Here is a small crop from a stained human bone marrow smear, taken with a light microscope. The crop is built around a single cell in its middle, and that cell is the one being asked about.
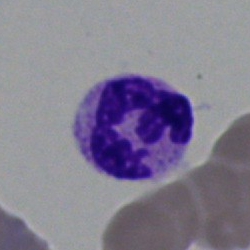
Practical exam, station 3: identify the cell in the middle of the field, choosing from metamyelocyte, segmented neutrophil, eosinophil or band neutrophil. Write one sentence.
In the crop, the cell of interest at the centre is a segmented neutrophil.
